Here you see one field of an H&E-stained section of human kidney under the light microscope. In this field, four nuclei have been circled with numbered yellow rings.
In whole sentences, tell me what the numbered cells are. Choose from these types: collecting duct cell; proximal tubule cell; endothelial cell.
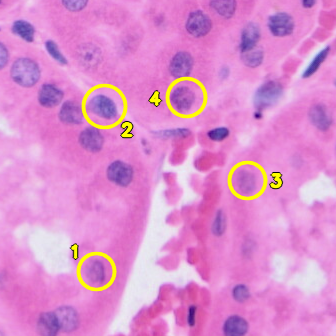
Cells 1, 3 and 4 are proximal tubule cells. Cell 2 is an endothelial cell.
